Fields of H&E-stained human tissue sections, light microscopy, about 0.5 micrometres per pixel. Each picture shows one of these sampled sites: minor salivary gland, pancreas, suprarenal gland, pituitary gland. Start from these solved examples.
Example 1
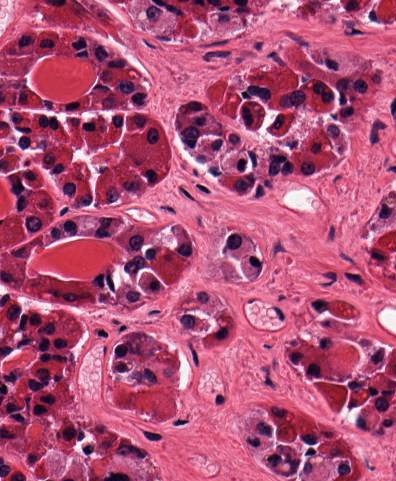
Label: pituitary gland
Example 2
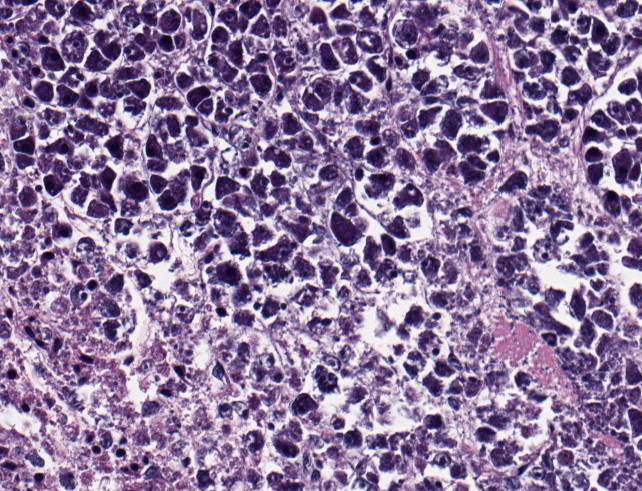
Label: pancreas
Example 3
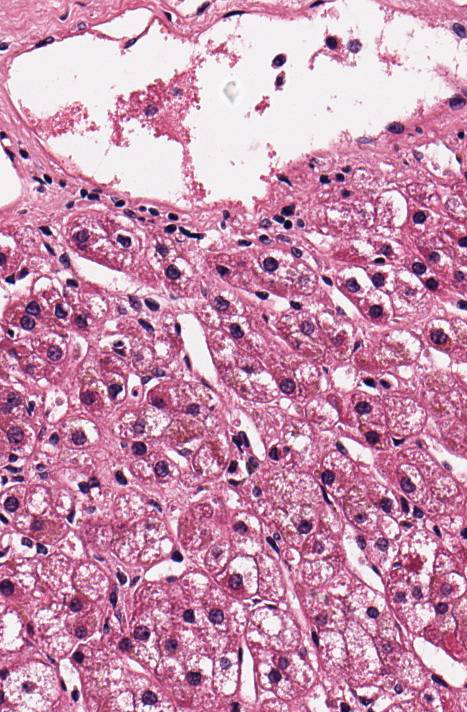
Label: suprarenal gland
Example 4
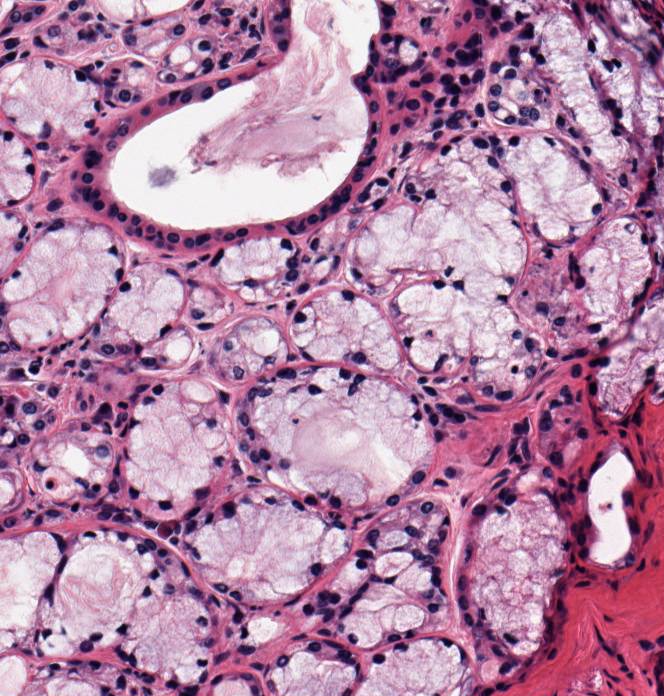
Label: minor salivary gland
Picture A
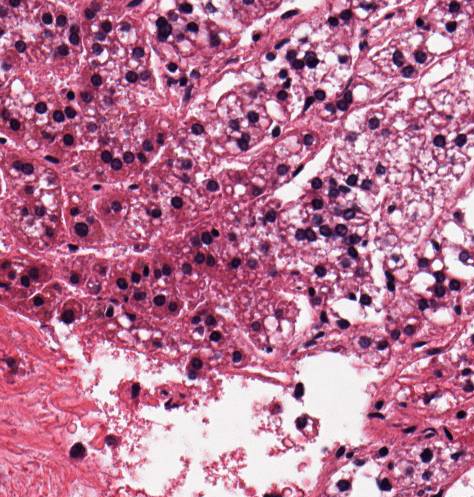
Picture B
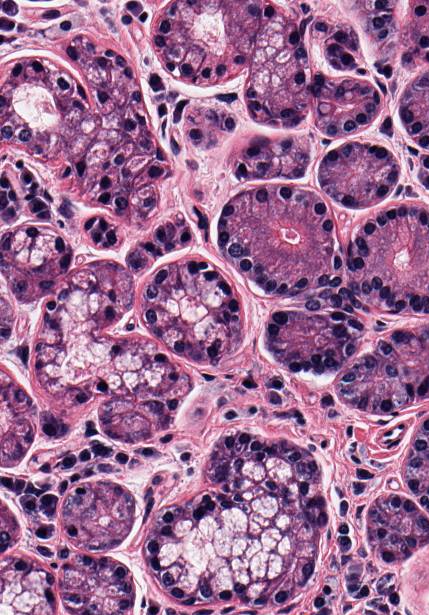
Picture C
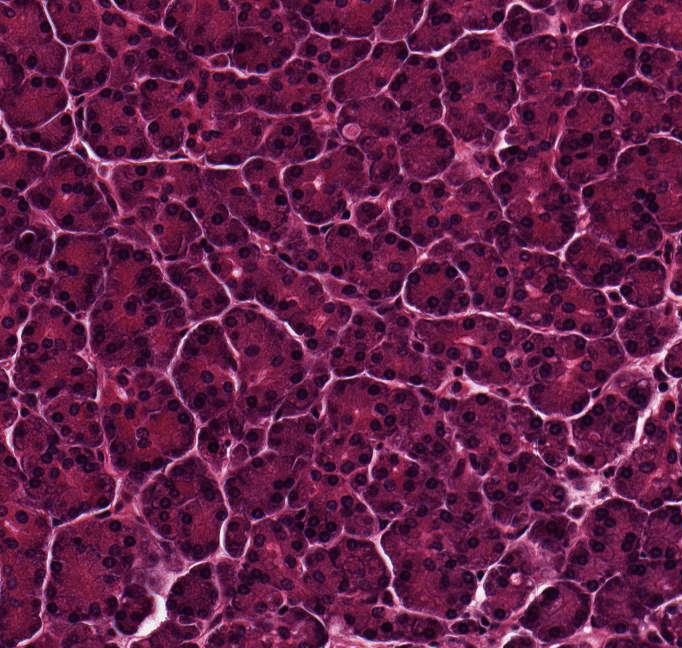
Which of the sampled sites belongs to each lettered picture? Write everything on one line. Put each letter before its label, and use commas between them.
A suprarenal gland, B minor salivary gland, C pancreas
